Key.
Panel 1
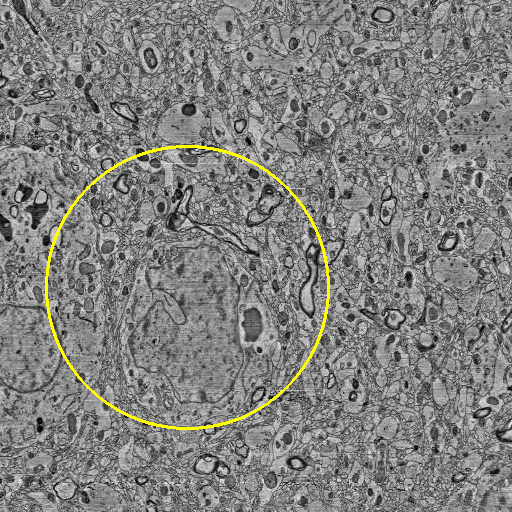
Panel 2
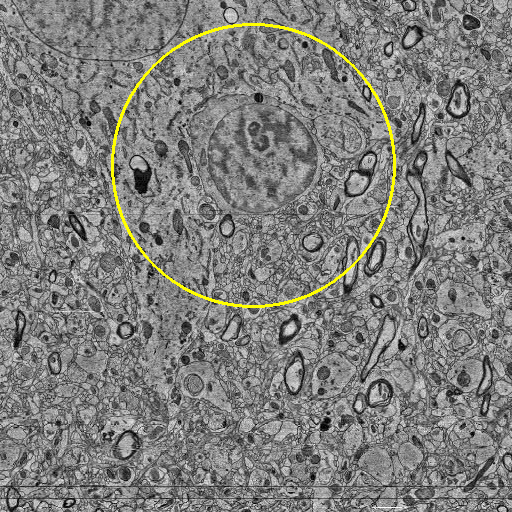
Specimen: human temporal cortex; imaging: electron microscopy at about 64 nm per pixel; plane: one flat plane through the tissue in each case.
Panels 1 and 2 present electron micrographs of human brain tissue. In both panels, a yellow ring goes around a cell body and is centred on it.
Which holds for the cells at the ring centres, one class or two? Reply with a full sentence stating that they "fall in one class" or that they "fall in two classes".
Taken together, the ring-centre cells of the two panels fall in two classes.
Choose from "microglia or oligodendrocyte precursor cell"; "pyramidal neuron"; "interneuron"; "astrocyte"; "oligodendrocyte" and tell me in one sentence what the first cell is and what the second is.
What the first ring is centred on is an interneuron; what the second ring is centred on is an oligodendrocyte.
